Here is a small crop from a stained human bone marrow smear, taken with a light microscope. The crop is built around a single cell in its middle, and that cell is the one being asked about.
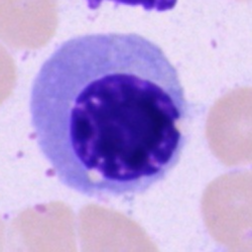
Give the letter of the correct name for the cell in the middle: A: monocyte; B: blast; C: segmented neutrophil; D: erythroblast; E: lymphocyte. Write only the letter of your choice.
D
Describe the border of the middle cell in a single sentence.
In short, the margin is smooth with no projections at all.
